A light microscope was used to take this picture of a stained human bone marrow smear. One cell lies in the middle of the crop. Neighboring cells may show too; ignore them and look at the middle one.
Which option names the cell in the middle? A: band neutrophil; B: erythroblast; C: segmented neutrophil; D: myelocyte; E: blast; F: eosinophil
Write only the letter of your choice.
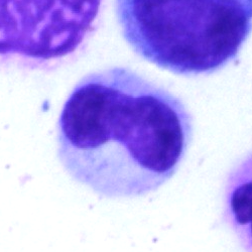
A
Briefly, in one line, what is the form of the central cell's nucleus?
The nucleus has been partitioned into two or more lobes.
